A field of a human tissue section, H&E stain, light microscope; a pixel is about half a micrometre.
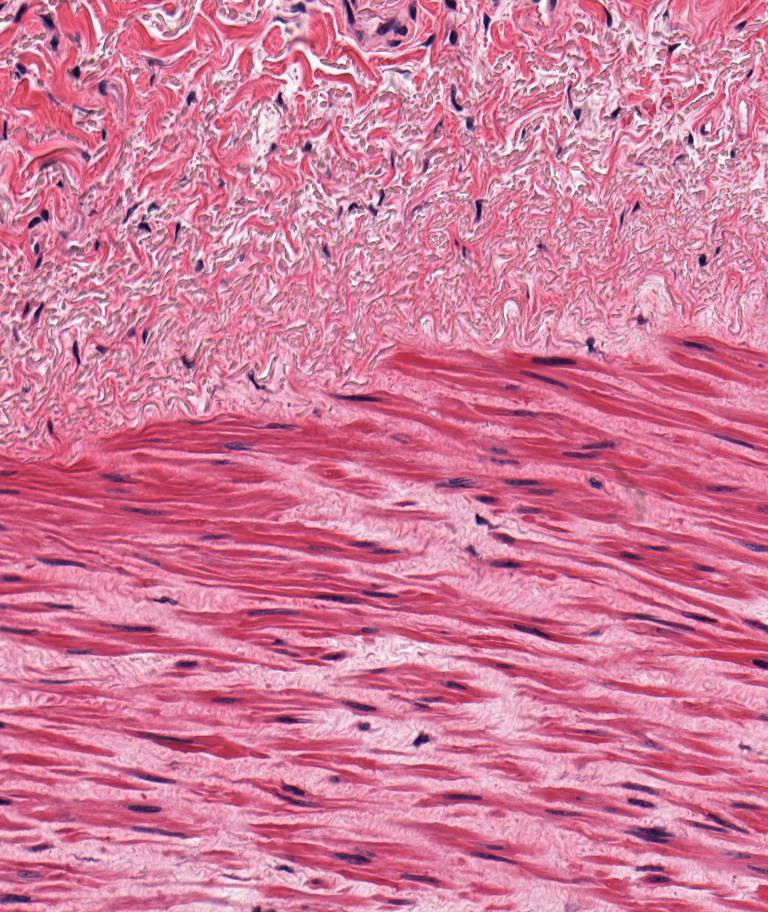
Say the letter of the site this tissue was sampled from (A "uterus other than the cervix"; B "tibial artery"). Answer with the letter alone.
B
